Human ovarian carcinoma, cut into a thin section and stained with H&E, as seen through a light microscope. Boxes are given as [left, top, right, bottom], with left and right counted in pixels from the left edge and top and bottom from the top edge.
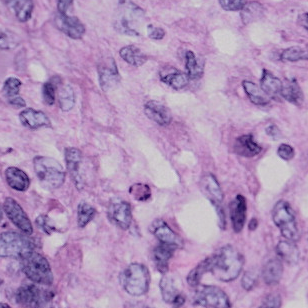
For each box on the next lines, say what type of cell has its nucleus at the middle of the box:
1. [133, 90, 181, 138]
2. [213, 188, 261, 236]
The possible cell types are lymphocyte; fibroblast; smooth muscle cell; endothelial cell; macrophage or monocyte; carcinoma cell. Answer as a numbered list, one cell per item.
1. fibroblast
2. macrophage or monocyte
